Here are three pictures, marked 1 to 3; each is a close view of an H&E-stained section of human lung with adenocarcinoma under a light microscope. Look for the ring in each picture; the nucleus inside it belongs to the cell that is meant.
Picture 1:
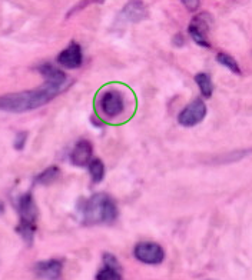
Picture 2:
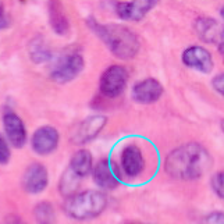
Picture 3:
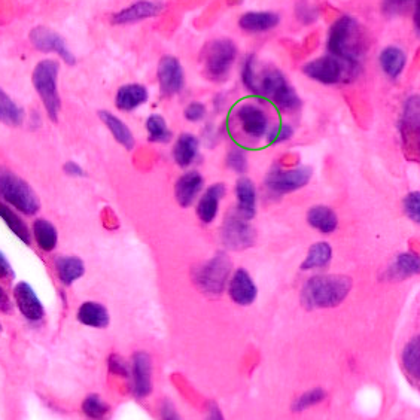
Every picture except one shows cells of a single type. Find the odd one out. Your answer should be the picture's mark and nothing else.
2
